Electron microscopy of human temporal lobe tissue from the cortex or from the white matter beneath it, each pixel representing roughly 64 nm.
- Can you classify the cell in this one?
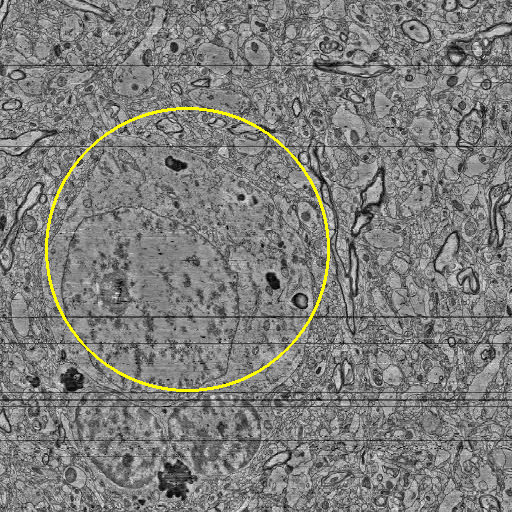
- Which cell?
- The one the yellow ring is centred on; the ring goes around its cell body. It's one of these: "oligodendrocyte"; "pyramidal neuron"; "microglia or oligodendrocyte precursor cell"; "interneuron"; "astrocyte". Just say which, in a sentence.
The cell body in the ring belongs to a pyramidal neuron.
